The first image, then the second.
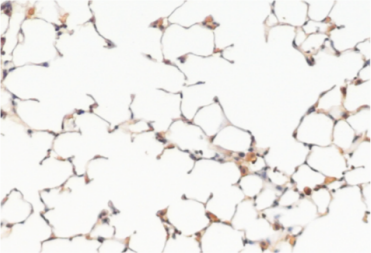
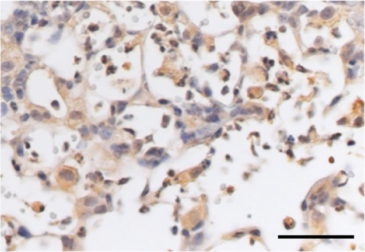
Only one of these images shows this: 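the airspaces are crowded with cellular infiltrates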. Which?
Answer: The second image.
